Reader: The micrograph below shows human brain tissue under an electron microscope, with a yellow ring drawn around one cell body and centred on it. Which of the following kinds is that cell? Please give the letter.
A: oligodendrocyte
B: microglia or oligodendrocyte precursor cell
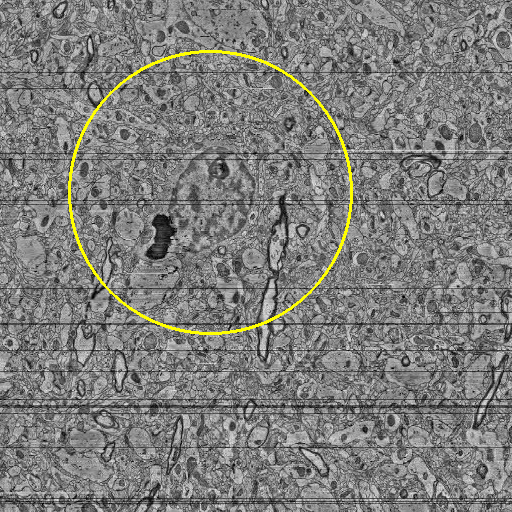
A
